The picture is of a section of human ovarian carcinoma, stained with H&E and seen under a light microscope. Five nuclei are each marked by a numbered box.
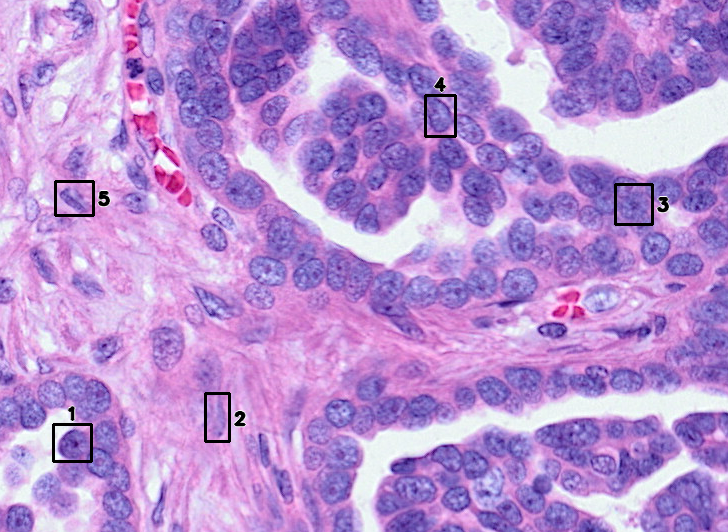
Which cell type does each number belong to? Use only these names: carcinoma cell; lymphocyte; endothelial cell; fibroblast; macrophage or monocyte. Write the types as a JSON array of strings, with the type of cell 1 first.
["carcinoma cell", "fibroblast", "carcinoma cell", "carcinoma cell", "fibroblast"]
